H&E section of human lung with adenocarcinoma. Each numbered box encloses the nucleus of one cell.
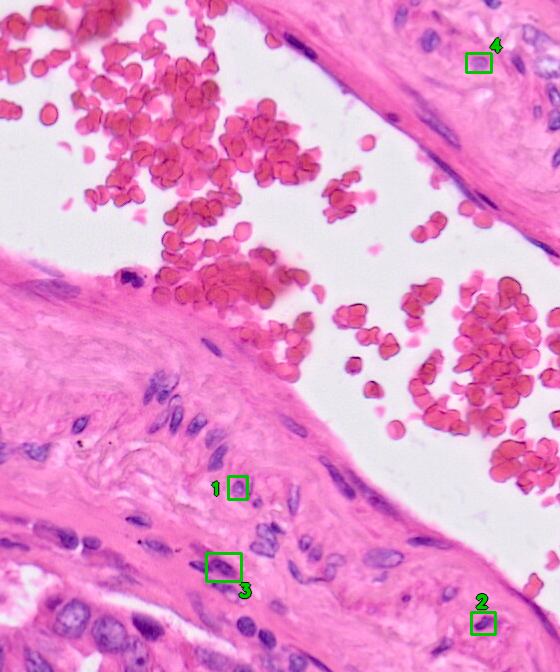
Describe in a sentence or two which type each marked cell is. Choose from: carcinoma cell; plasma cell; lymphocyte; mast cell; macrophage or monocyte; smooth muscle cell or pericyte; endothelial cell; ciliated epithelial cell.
Cell 1 is a smooth muscle cell or pericyte, cell 2 is a smooth muscle cell or pericyte, cell 3 is a plasma cell and cell 4 is a smooth muscle cell or pericyte.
